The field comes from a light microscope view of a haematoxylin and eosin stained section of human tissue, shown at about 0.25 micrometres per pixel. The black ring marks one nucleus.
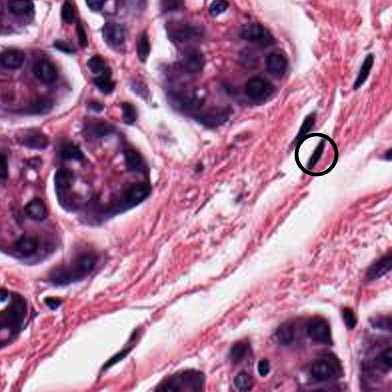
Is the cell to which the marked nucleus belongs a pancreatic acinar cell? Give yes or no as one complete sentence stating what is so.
No, the marked nucleus is not the nucleus of a pancreatic acinar cell but of a supporting cell.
